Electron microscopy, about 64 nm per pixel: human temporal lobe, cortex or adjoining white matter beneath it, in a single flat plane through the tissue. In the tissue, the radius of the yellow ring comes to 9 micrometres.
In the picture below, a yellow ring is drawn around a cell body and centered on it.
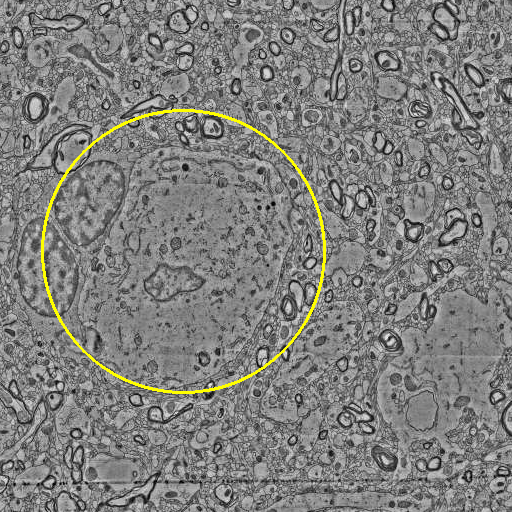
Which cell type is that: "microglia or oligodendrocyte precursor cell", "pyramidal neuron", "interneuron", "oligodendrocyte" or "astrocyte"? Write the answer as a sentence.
The cell centered in the ring is a pyramidal neuron.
